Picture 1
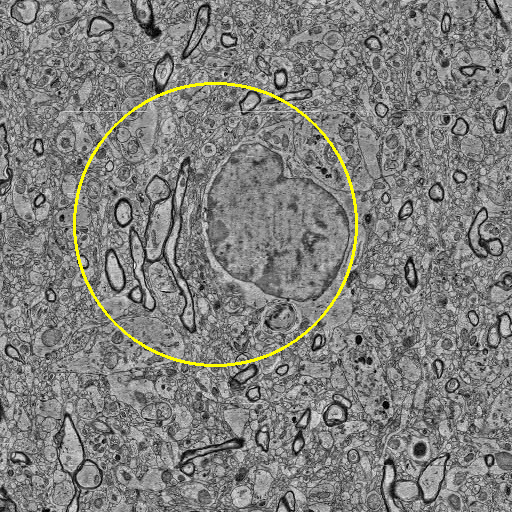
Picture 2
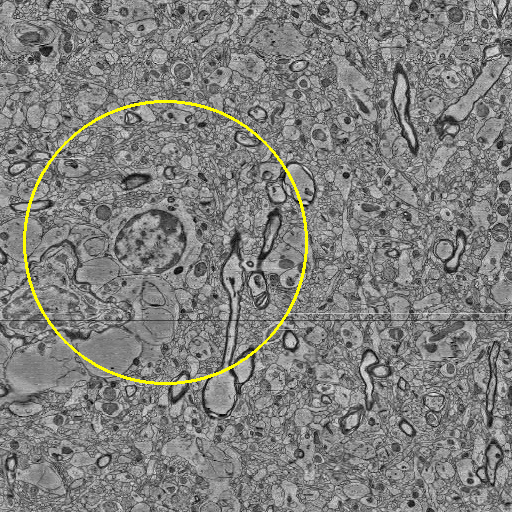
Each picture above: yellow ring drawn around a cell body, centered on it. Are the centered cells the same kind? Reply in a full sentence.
Yes, the two cells are the same kind.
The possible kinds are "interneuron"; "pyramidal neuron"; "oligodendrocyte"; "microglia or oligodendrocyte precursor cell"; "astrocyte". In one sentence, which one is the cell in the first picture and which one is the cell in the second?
Each of the two cells is a microglial cell or oligodendrocyte precursor cell.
